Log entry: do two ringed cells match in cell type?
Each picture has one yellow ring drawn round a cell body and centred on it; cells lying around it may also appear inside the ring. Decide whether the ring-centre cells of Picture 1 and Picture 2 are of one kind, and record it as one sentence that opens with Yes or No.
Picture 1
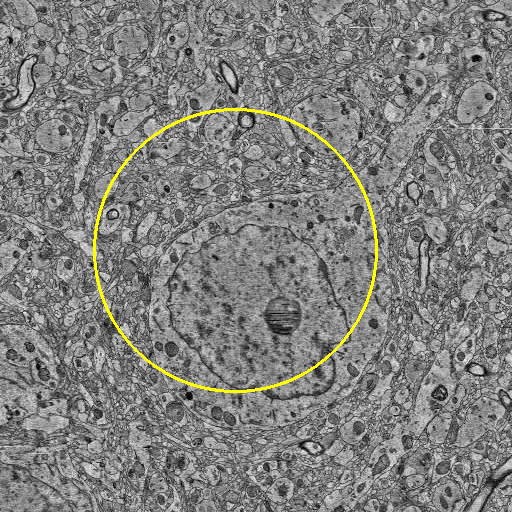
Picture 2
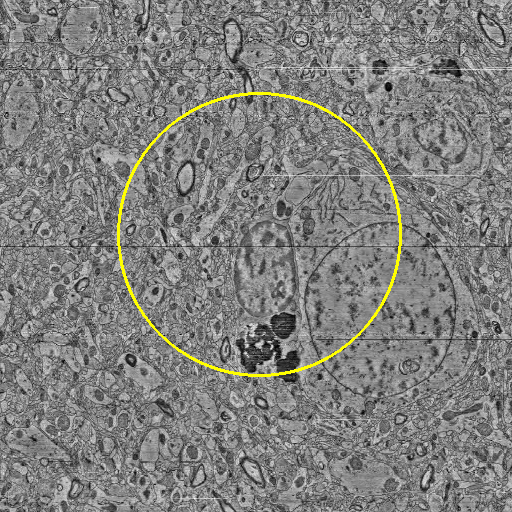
No, the cells at the ring centres of the two pictures belong to two kinds.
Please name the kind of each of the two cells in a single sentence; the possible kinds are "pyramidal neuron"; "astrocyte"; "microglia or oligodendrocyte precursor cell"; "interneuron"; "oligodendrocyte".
In the first picture the ring is centred on a pyramidal neuron, and in the second on an oligodendrocyte.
